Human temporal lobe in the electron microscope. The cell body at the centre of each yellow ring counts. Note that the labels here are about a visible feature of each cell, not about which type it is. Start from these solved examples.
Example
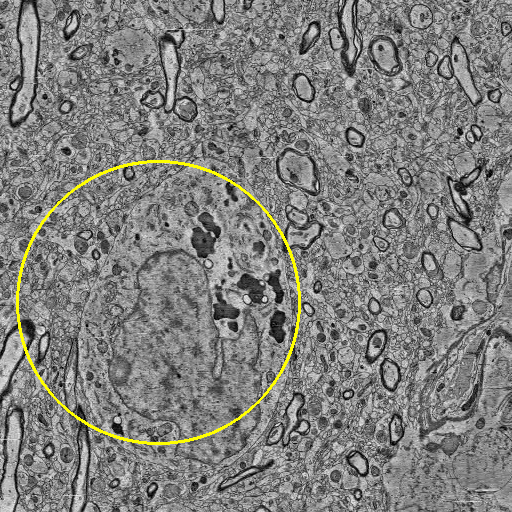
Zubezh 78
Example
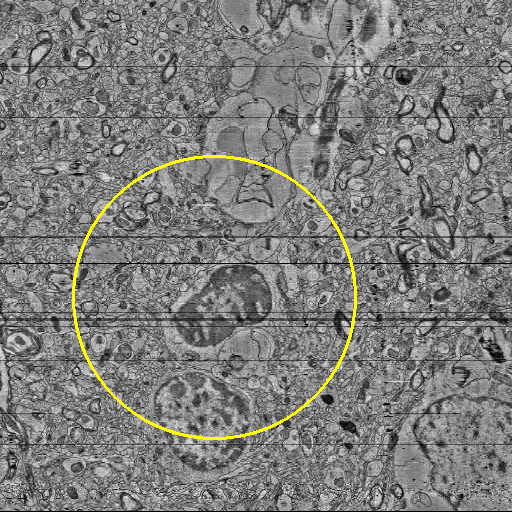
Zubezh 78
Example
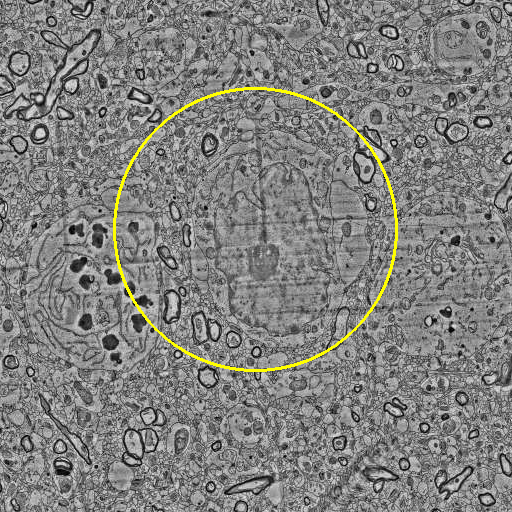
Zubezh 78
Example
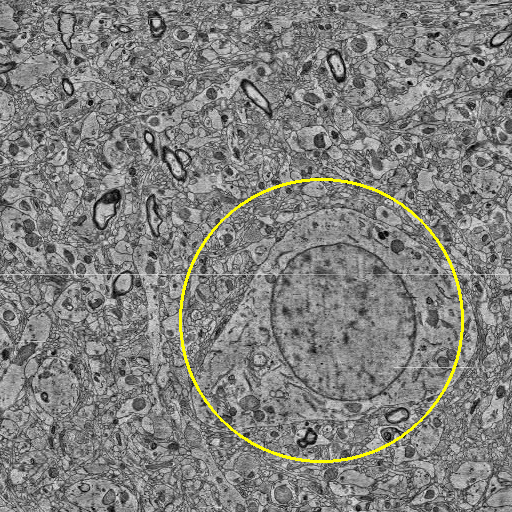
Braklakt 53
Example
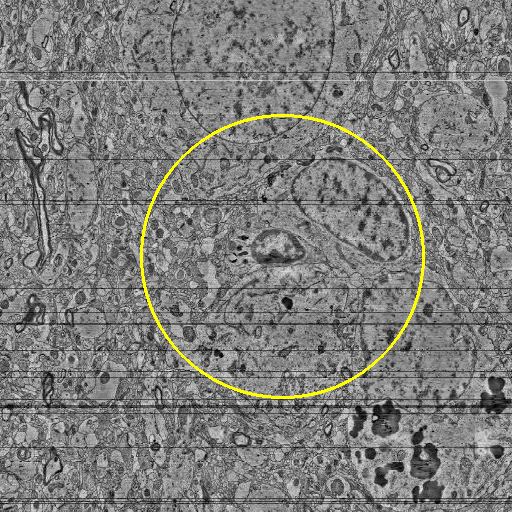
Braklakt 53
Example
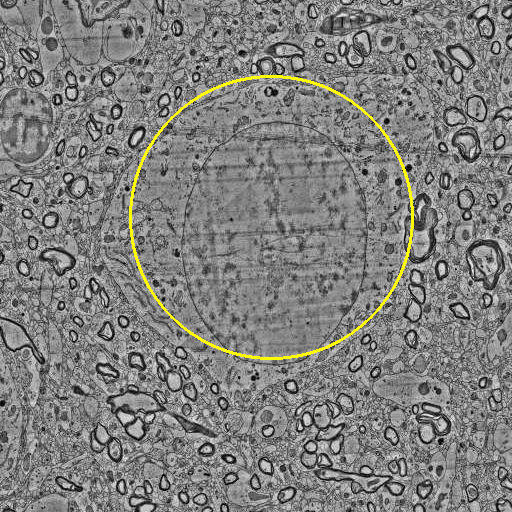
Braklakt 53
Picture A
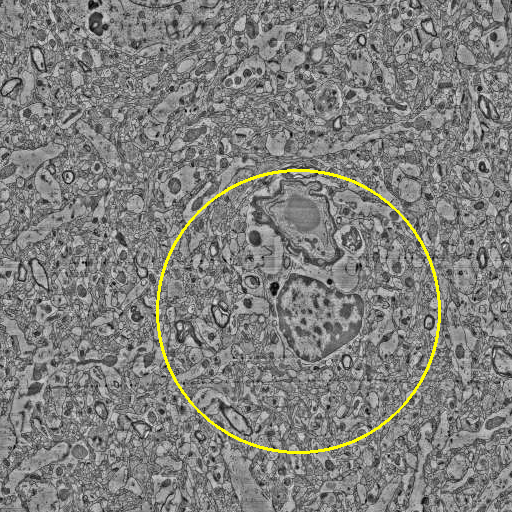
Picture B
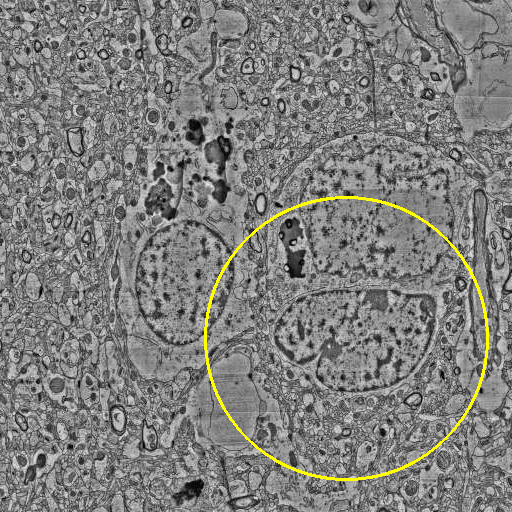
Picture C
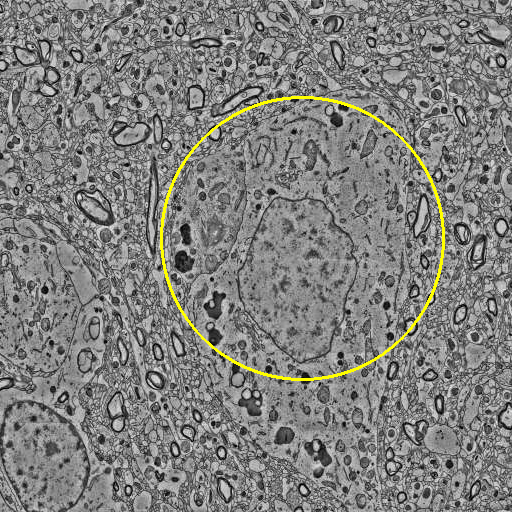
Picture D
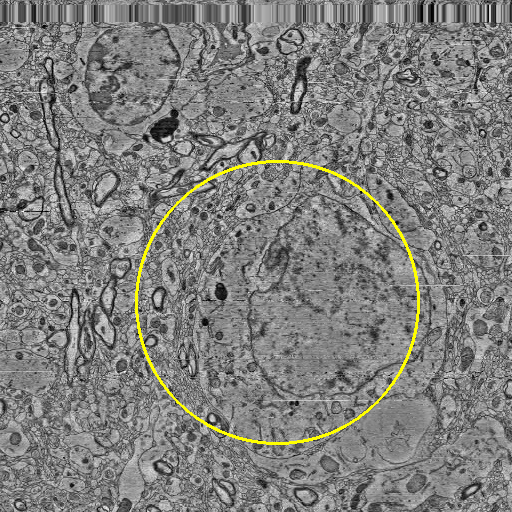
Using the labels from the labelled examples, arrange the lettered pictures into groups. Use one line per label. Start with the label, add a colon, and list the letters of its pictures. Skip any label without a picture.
Zubezh 78: A, B, D
Braklakt 53: C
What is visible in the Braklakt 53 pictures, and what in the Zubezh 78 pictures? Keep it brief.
Seen in Braklakt 53: smooth nuclear envelopes without deep folds; seen in Zubezh 78: deeply folded or indented nuclear envelopes.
